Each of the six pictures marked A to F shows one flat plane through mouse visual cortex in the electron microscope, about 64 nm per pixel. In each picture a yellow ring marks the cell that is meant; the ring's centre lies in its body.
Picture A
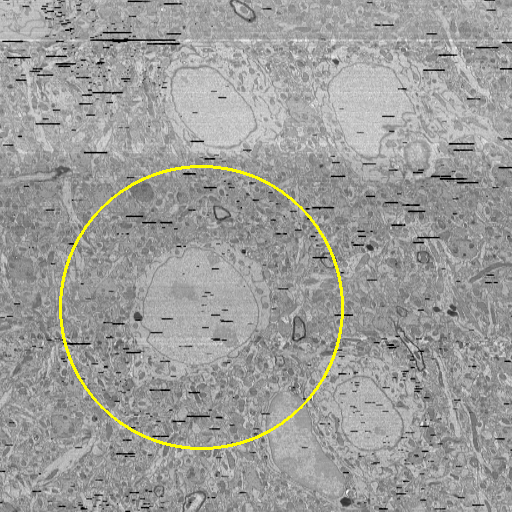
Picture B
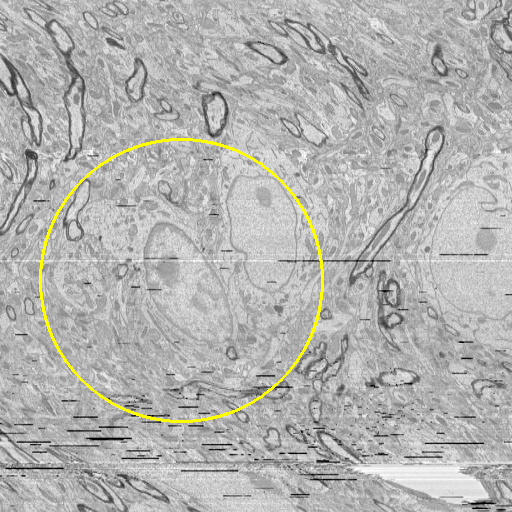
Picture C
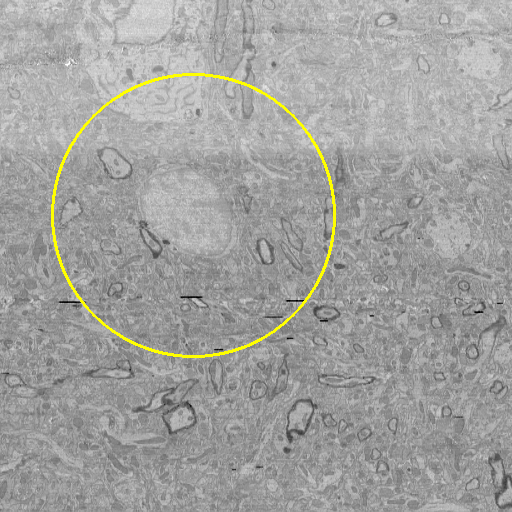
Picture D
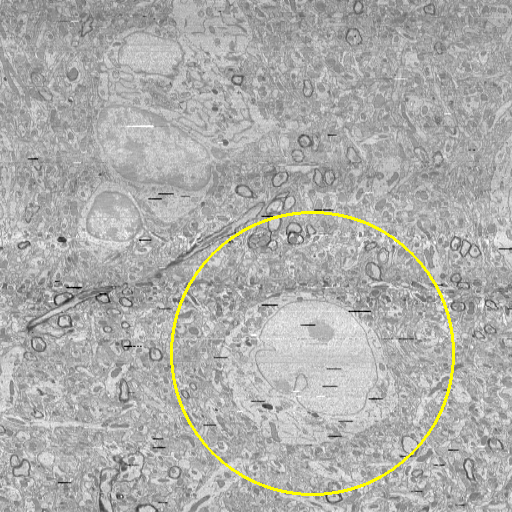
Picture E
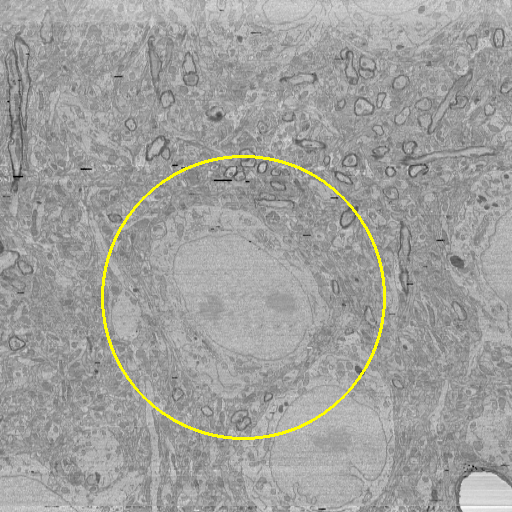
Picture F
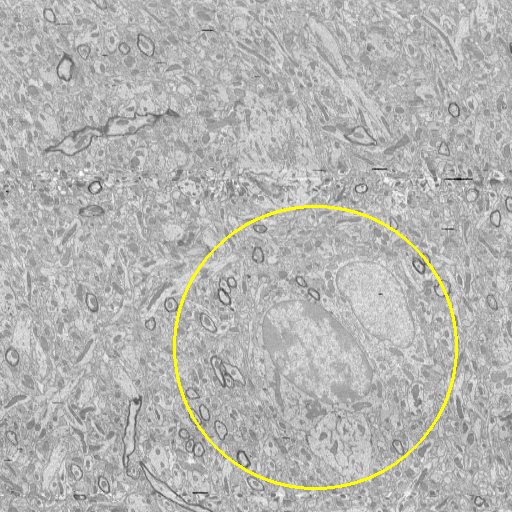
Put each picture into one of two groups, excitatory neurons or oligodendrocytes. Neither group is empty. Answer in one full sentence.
Pictures A, D and E show excitatory neurons; pictures B, C and F show oligodendrocytes.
